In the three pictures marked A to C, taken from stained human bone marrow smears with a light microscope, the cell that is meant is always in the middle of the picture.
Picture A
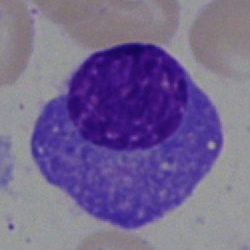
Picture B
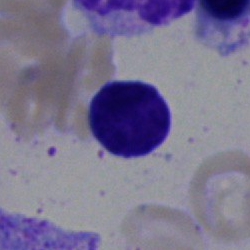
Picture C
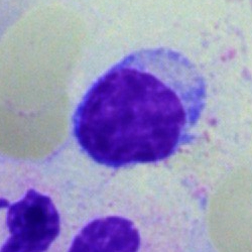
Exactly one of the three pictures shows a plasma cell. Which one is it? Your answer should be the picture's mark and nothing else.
A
